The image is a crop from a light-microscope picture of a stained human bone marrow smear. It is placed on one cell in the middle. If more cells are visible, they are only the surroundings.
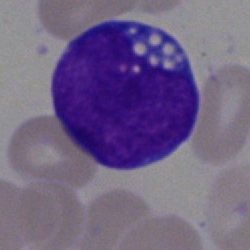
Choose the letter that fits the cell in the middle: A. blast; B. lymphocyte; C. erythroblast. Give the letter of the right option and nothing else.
A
